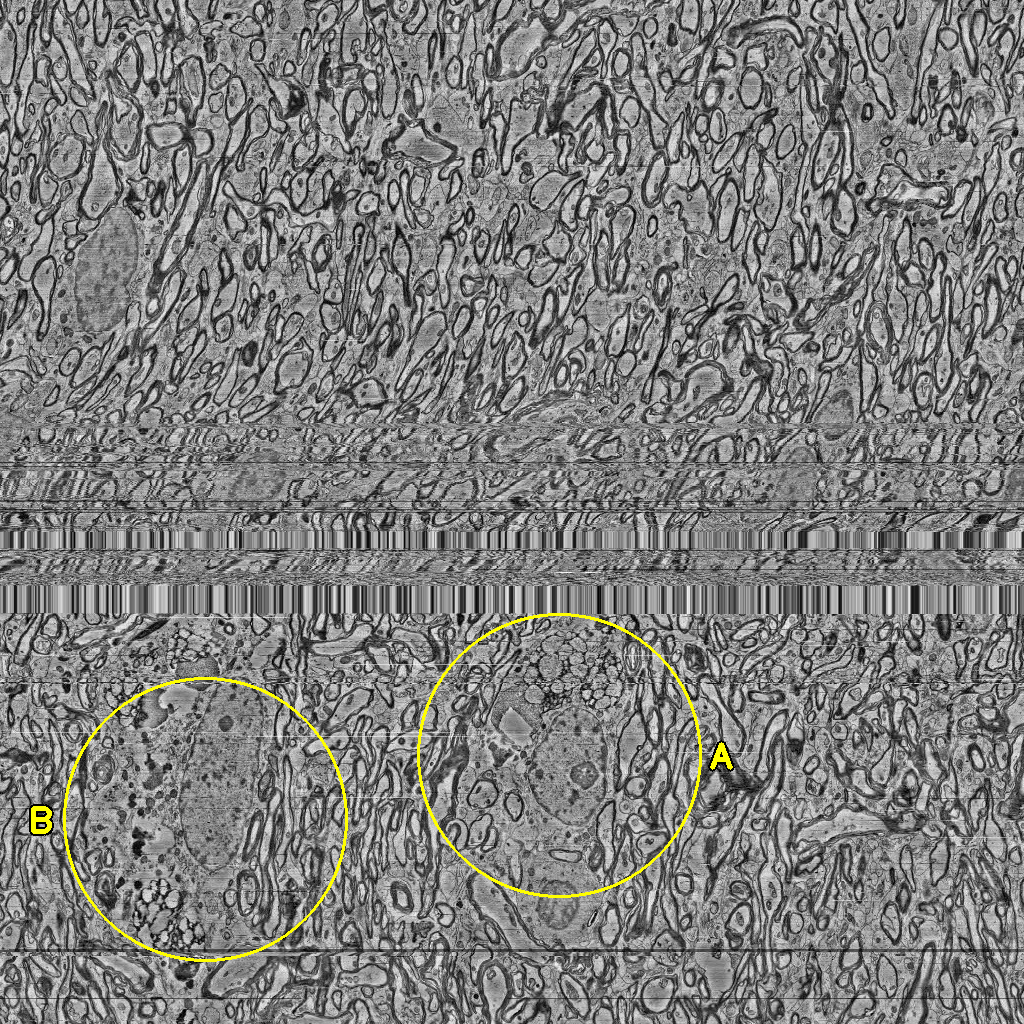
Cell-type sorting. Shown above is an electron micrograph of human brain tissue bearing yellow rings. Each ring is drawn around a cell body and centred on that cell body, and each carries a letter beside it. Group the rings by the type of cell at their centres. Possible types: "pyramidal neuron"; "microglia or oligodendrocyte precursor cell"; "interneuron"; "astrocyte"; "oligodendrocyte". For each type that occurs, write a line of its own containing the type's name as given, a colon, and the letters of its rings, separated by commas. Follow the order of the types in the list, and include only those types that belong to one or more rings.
astrocyte: A, B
